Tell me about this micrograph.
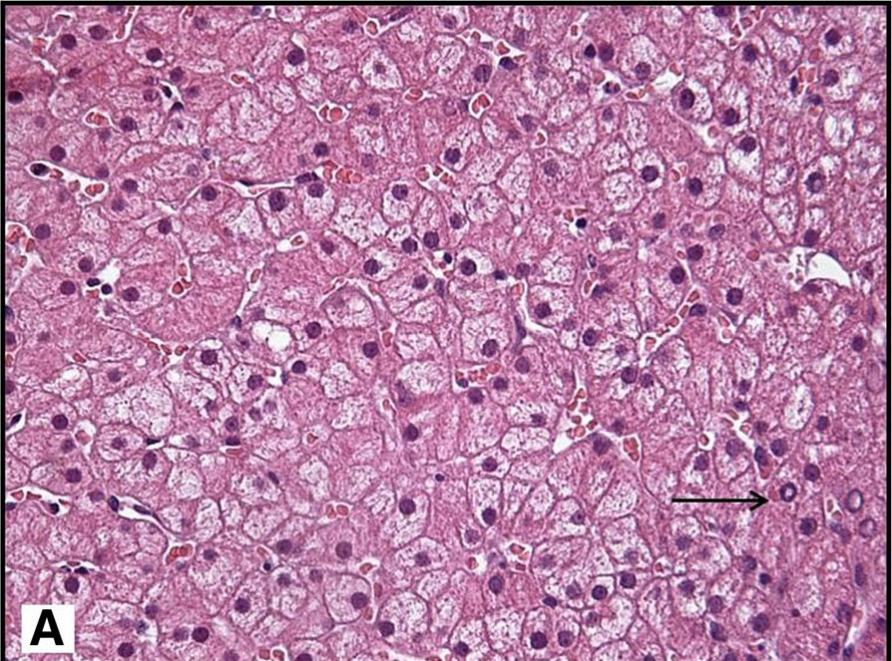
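Sheets of large polygonal liver cells, hepatocytes, fill the field, each with sharp cell borders and a single round dark nucleus, mostly central. Their cytoplasm is pale and clear, with fine pink wisps and strands rather than dense pink granular cytoplasm, so the cells look swollen and plant-like. Between the cell plates run narrow sinusoids holding red blood cells and a few flattened lining cells. Near the right edge one nucleus appears empty in the centre with a dark rim, a glycogenated nucleus, unlike the solid dark nuclei elsewhere.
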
